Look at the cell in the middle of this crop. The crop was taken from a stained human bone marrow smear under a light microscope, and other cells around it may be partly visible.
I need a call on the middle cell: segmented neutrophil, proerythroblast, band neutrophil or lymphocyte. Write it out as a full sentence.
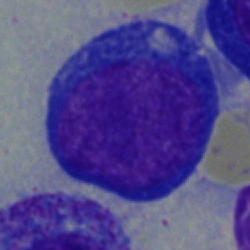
On this slide crop, the central cell is a proerythroblast.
